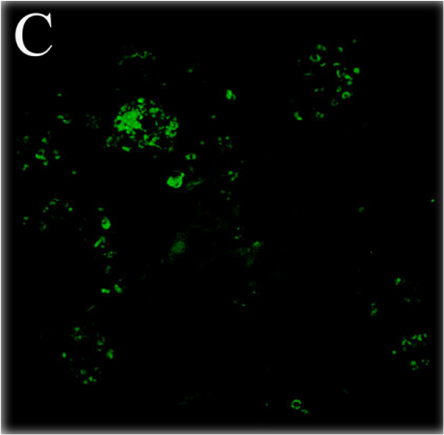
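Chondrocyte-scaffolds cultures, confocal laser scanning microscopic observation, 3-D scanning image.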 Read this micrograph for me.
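The fluorescent cells form scattered groups of varying size rather than a continuous layer. Each group is made up of many small bright bodies and rings packed together, giving a granular, speckled look. Smaller clusters and isolated bright dots are spread between the larger groups. Cell outlines and nuclei cannot be resolved, and the clusters keep no regular arrangement.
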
